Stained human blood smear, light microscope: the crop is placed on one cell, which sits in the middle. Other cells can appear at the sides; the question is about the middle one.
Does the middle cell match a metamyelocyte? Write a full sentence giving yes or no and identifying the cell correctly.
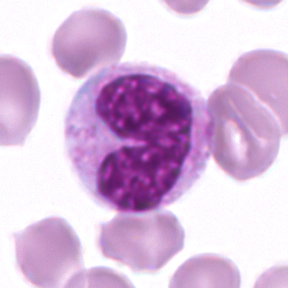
No, instead of being a metamyelocyte, the middle cell is a band neutrophil.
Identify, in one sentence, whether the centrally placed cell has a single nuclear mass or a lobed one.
See how the nucleus sits as one compact round, oval or kidney-shaped mass.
